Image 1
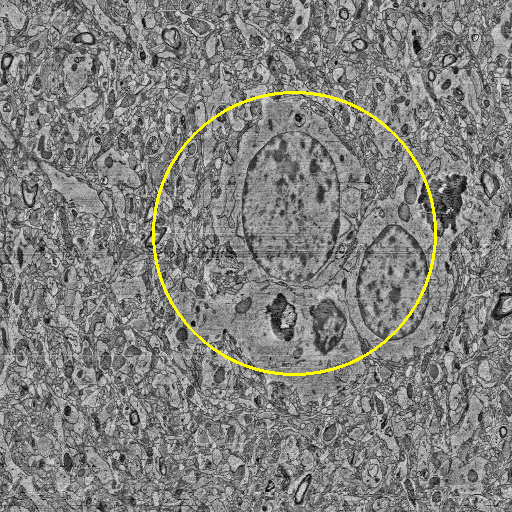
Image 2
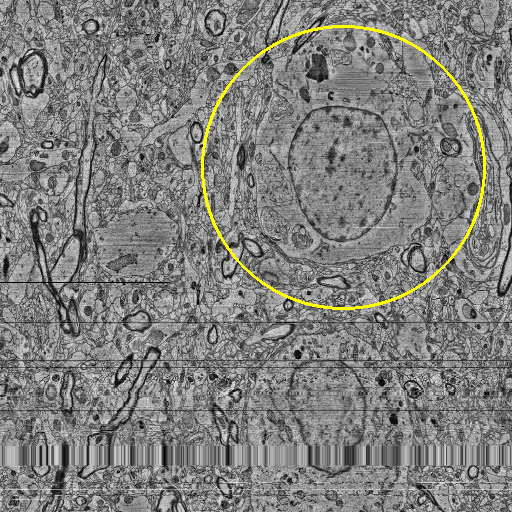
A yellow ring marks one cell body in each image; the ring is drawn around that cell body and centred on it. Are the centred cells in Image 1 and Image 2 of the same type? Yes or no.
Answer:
yes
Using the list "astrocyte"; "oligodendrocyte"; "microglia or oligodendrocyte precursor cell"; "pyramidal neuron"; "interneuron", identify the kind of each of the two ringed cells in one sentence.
The cell at the ring centre is an astrocyte in both pictures.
